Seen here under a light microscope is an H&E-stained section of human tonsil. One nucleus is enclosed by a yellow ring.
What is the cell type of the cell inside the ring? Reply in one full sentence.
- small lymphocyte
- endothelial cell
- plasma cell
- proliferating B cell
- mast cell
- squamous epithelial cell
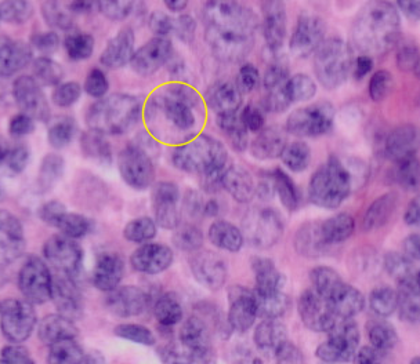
As classified here, the cell inside the ring is a proliferating B cell.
